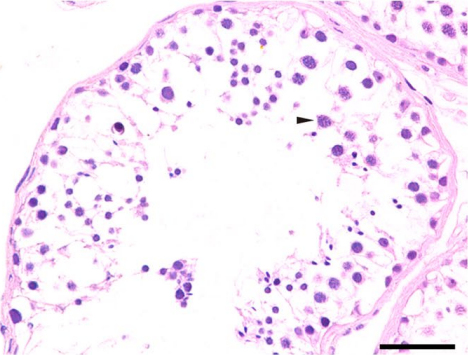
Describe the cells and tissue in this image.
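A seminiferous tubule is seen in cross-section, bounded by a thin pink wall and lined by a multilayered germ cell epithelium. Larger round cells with big nuclei, the spermatocytes, sit in the middle layers, while many smaller round cells with dense nuclei crowd toward the wide central lumen.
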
